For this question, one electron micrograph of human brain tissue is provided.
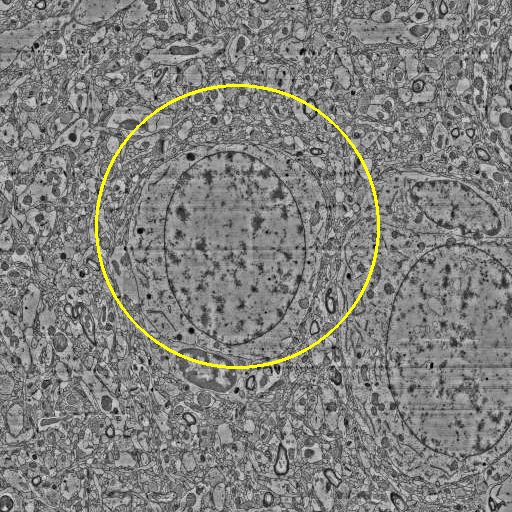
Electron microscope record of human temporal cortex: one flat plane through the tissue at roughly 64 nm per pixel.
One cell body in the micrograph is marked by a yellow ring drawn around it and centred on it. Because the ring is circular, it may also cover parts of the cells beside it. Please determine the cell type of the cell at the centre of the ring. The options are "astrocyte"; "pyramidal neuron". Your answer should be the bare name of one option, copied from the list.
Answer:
pyramidal neuron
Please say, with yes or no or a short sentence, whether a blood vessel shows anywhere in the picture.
No, the picture includes no blood vessel.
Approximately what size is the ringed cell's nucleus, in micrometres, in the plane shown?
In this plane the nucleus measures roughly 12 by 9 micrometres.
